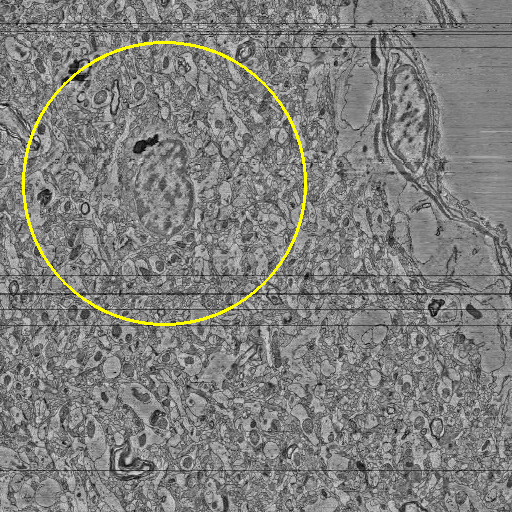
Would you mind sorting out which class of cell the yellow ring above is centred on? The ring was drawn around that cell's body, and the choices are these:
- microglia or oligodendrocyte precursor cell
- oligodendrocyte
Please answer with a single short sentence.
This is the cell body of an oligodendrocyte.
